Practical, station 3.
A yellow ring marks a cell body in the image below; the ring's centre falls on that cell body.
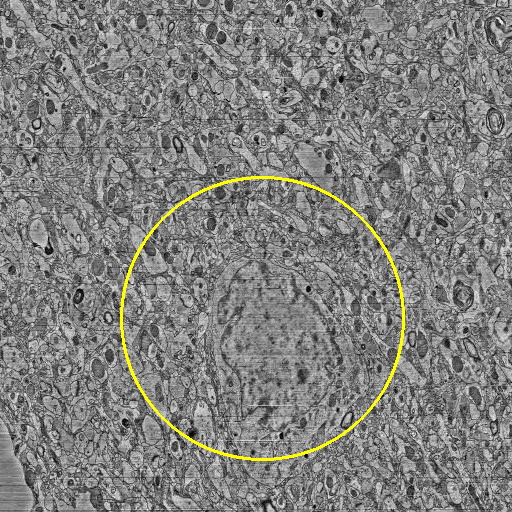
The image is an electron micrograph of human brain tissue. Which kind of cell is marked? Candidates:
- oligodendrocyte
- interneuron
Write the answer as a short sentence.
The marked cell body is that of an interneuron.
